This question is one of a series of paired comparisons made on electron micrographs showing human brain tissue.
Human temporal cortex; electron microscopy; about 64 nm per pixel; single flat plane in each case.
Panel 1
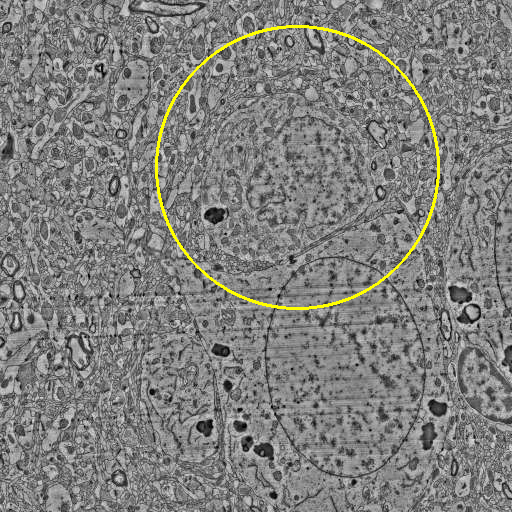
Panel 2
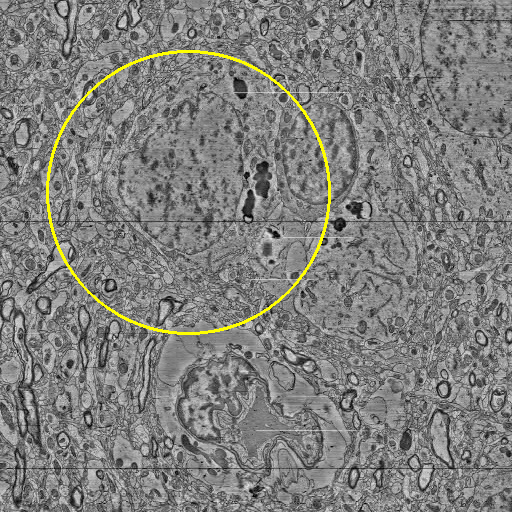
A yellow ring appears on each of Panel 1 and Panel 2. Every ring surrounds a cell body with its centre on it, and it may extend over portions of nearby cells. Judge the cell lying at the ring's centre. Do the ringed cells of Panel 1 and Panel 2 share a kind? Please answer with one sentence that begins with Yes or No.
Yes, the ring-centre cell in Panel 1 and the one in Panel 2 are of one kind.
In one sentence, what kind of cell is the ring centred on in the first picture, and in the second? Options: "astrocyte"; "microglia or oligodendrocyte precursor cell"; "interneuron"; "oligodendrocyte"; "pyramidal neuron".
Both pictures show an interneuron at the centre of the ring.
